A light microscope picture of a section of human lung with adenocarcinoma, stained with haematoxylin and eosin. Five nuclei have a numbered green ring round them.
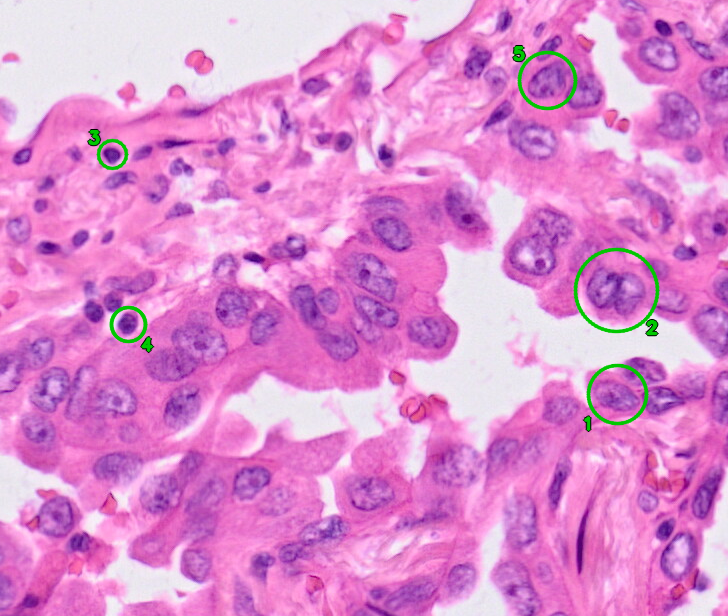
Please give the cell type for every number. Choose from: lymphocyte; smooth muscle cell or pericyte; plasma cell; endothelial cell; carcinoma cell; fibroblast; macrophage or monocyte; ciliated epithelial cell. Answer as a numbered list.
1. carcinoma cell
2. carcinoma cell
3. lymphocyte
4. lymphocyte
5. carcinoma cell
